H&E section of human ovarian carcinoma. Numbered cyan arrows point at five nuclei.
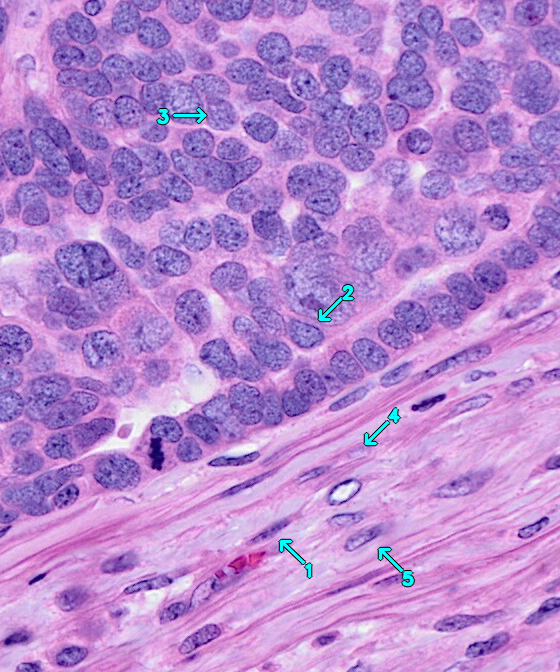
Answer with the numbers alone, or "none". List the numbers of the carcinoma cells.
2, 3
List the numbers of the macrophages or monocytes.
none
